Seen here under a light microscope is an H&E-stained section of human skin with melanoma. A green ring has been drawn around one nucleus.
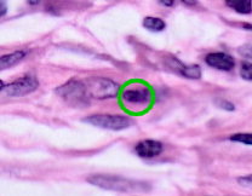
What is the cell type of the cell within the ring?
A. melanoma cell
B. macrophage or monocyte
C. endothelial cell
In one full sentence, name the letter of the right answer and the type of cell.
Option C is correct in stating that the cell within the ring is an endothelial cell.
